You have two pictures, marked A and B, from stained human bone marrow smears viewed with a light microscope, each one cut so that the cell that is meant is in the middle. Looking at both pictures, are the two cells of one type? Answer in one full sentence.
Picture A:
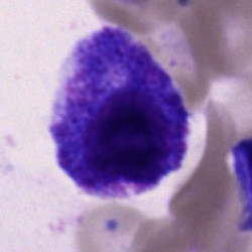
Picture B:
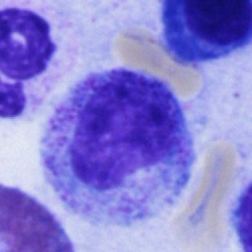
No. Picture A shows a promyelocyte, but picture B shows a myelocyte.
